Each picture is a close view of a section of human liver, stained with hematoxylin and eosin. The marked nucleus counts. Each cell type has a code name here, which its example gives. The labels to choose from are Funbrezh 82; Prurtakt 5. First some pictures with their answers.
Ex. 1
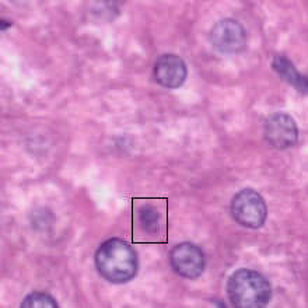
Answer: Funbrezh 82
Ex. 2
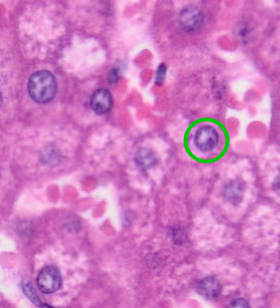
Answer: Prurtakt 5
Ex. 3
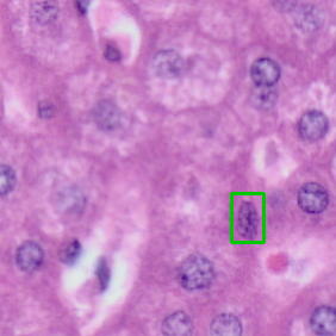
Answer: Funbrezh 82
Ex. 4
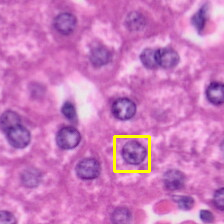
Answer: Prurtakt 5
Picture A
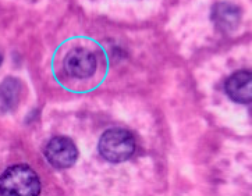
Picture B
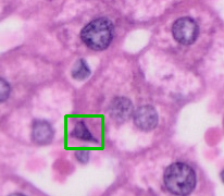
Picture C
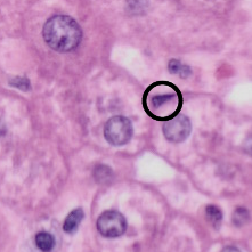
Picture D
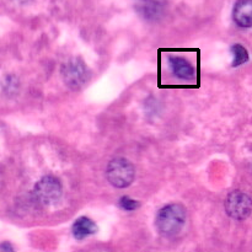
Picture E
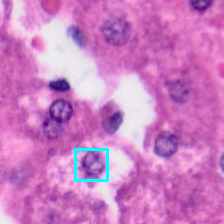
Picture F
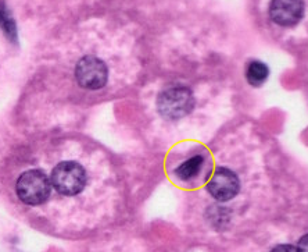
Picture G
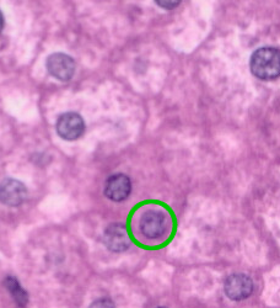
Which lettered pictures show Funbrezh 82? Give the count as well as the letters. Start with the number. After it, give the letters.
Count: 4 (B, C, D, F)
